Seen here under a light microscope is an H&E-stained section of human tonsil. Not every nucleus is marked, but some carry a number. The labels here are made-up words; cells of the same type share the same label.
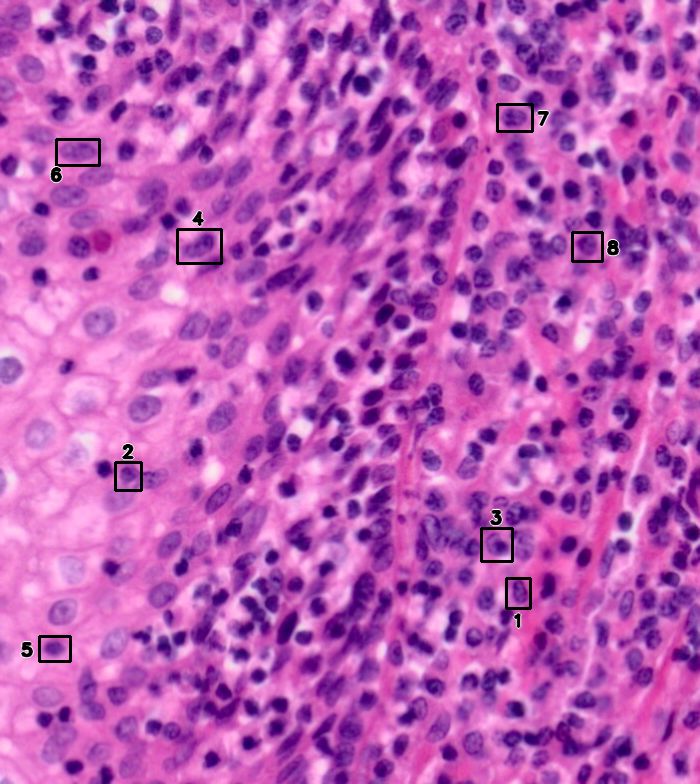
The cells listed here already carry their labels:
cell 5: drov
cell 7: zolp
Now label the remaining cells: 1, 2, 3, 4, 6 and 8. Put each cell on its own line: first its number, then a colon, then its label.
1: zolp
2: drov
3: zolp
4: drov
6: drov
8: zolp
